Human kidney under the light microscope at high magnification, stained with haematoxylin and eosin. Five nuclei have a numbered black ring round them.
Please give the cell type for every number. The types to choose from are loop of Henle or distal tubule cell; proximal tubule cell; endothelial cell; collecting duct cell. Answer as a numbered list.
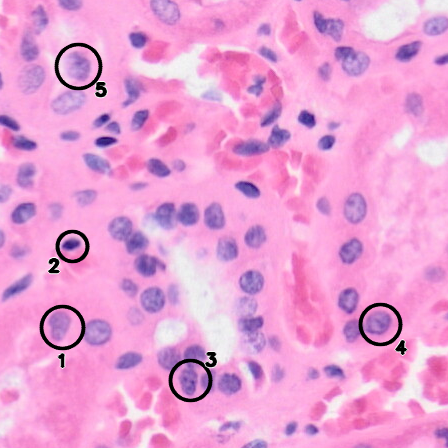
1. proximal tubule cell
2. endothelial cell
3. collecting duct cell
4. proximal tubule cell
5. loop of Henle or distal tubule cell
